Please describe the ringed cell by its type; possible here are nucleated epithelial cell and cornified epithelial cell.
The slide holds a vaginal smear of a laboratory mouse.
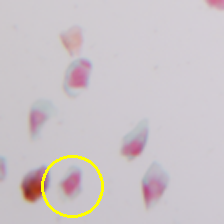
The yellow ring marks a nucleated epithelial cell.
